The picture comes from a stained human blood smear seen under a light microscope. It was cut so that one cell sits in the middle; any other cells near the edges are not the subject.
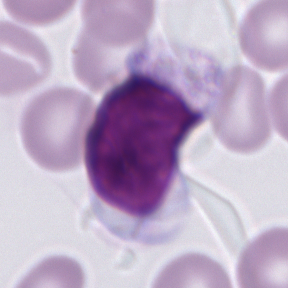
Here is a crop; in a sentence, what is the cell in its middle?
The central cell shown in this smear crop is a large granular lymphocyte.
